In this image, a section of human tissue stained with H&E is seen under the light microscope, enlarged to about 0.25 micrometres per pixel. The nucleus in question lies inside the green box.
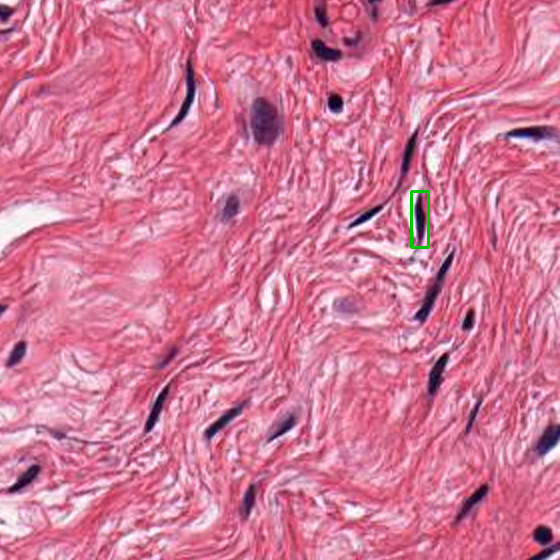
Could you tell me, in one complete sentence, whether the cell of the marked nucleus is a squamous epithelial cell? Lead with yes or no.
No, the marked nucleus is assigned not to a squamous epithelial cell but to a supporting cell.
